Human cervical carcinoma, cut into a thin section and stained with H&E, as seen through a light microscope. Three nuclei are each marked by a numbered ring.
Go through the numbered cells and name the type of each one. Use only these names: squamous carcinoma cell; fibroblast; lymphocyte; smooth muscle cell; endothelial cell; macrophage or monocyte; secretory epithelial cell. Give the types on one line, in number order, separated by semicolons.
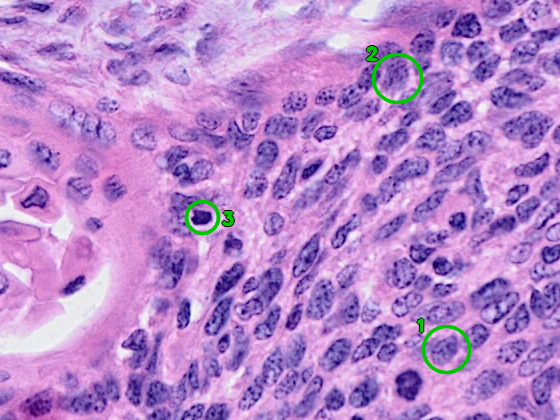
squamous carcinoma cell; squamous carcinoma cell; lymphocyte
